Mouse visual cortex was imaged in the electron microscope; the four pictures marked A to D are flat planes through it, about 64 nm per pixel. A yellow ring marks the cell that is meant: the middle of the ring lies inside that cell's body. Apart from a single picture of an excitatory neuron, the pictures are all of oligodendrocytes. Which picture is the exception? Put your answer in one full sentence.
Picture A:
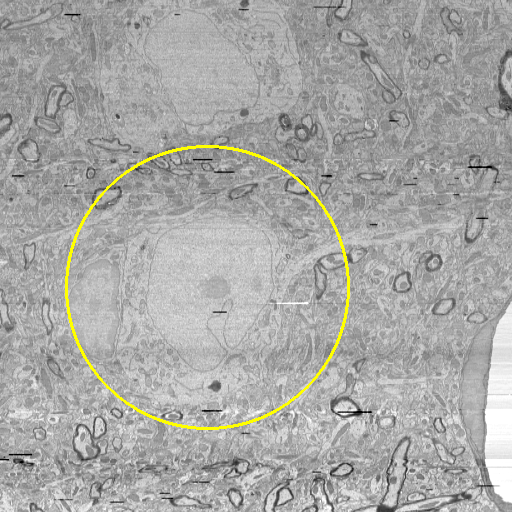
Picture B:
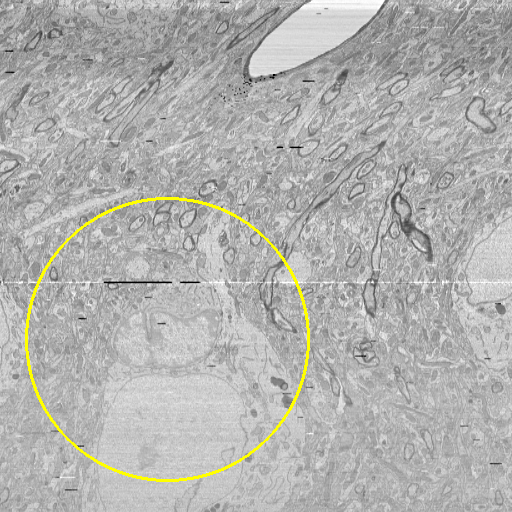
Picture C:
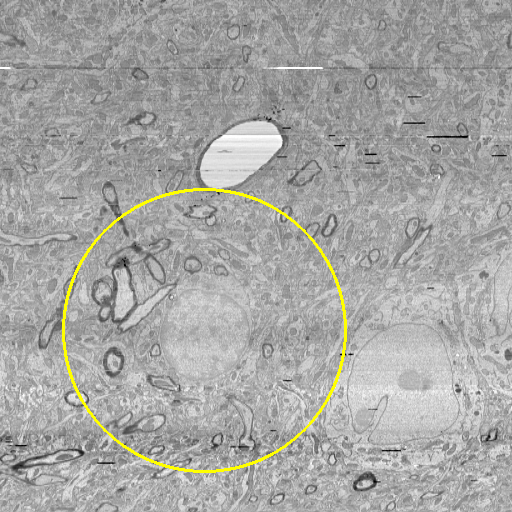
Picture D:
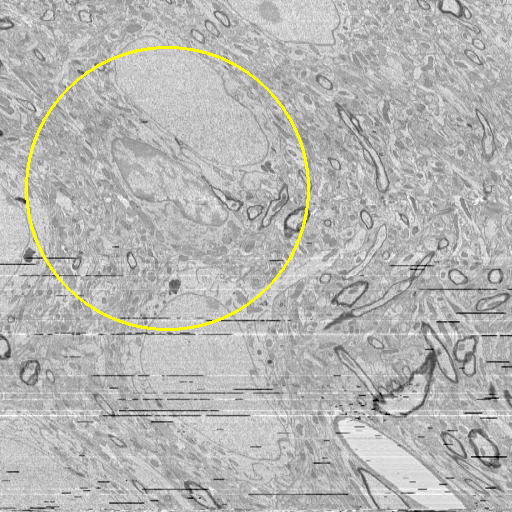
It is picture A that shows the excitatory neuron.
